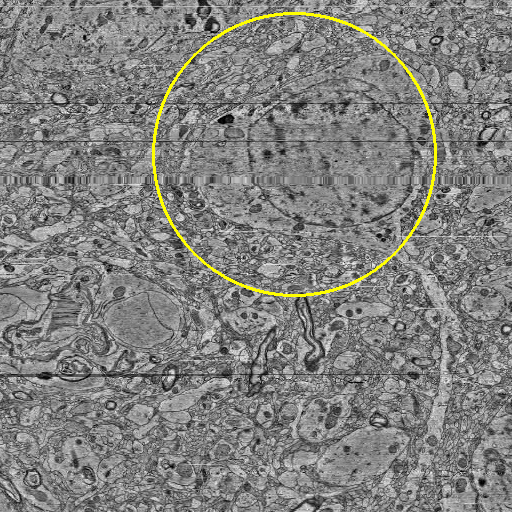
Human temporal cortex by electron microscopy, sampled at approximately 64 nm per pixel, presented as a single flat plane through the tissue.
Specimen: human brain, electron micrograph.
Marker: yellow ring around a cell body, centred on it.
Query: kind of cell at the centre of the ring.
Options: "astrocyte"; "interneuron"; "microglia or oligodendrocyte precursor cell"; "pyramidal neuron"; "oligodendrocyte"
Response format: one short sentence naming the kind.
This cell body belongs to a pyramidal neuron.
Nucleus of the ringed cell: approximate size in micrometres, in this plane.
The nucleus appears about 11 micrometres across in this plane.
